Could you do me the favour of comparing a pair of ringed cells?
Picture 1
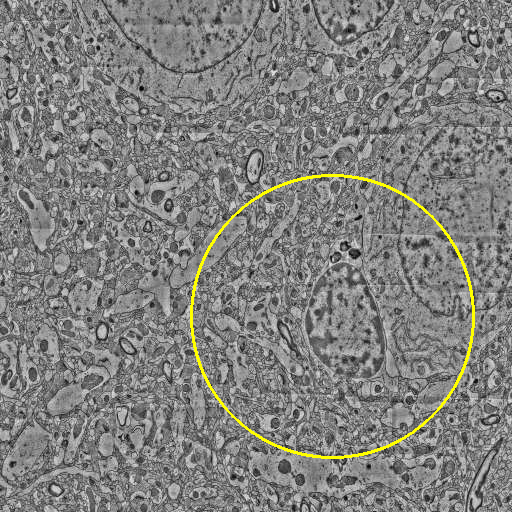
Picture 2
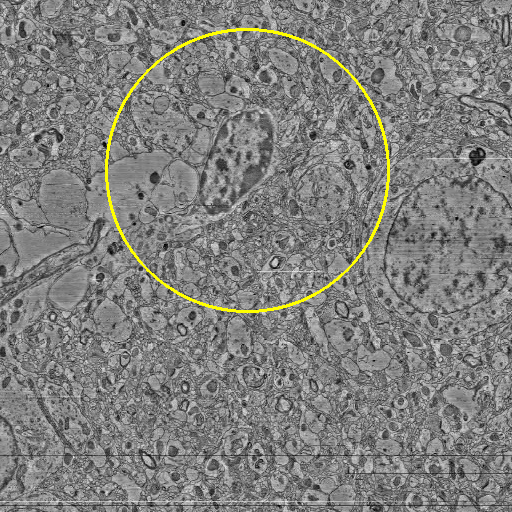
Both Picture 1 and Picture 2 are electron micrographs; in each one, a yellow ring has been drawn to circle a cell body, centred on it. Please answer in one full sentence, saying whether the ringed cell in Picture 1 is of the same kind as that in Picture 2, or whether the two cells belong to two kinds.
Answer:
The ringed cell in Picture 1 is of the same kind as that in Picture 2.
